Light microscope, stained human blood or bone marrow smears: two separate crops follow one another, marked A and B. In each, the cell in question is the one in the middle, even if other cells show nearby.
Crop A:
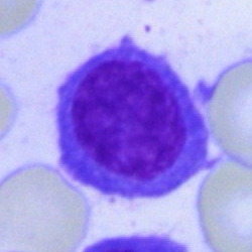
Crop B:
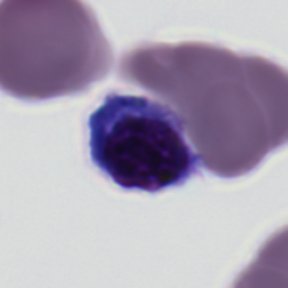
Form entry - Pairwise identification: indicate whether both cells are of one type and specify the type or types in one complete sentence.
Yes, plasma cells are the cells in the middle of both crops.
